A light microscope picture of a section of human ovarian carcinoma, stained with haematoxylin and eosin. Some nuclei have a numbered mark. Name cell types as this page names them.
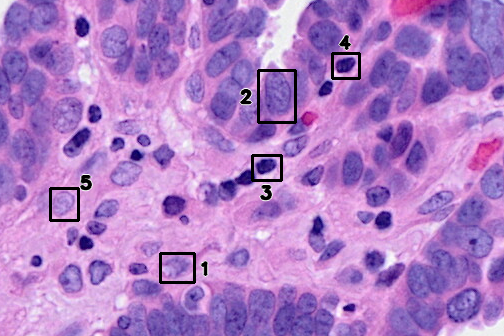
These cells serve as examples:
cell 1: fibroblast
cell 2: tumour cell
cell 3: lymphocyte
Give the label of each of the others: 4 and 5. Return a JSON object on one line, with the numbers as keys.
{"4": "lymphocyte", "5": "fibroblast"}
